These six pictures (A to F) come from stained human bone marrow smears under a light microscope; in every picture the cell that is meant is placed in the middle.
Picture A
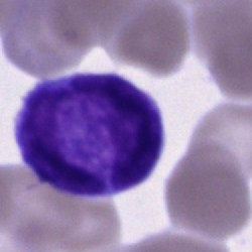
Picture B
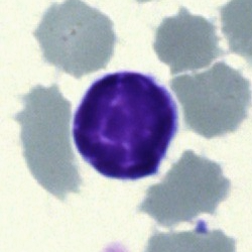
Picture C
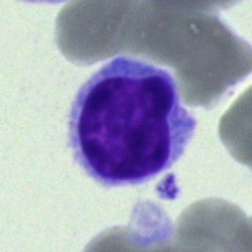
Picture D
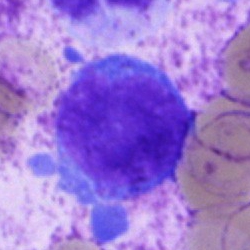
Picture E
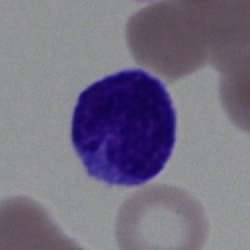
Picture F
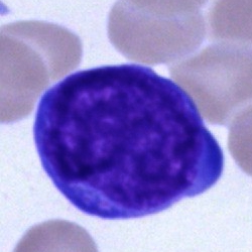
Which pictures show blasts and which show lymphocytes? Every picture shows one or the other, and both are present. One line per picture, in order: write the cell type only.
blast
lymphocyte
lymphocyte
blast
lymphocyte
blast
